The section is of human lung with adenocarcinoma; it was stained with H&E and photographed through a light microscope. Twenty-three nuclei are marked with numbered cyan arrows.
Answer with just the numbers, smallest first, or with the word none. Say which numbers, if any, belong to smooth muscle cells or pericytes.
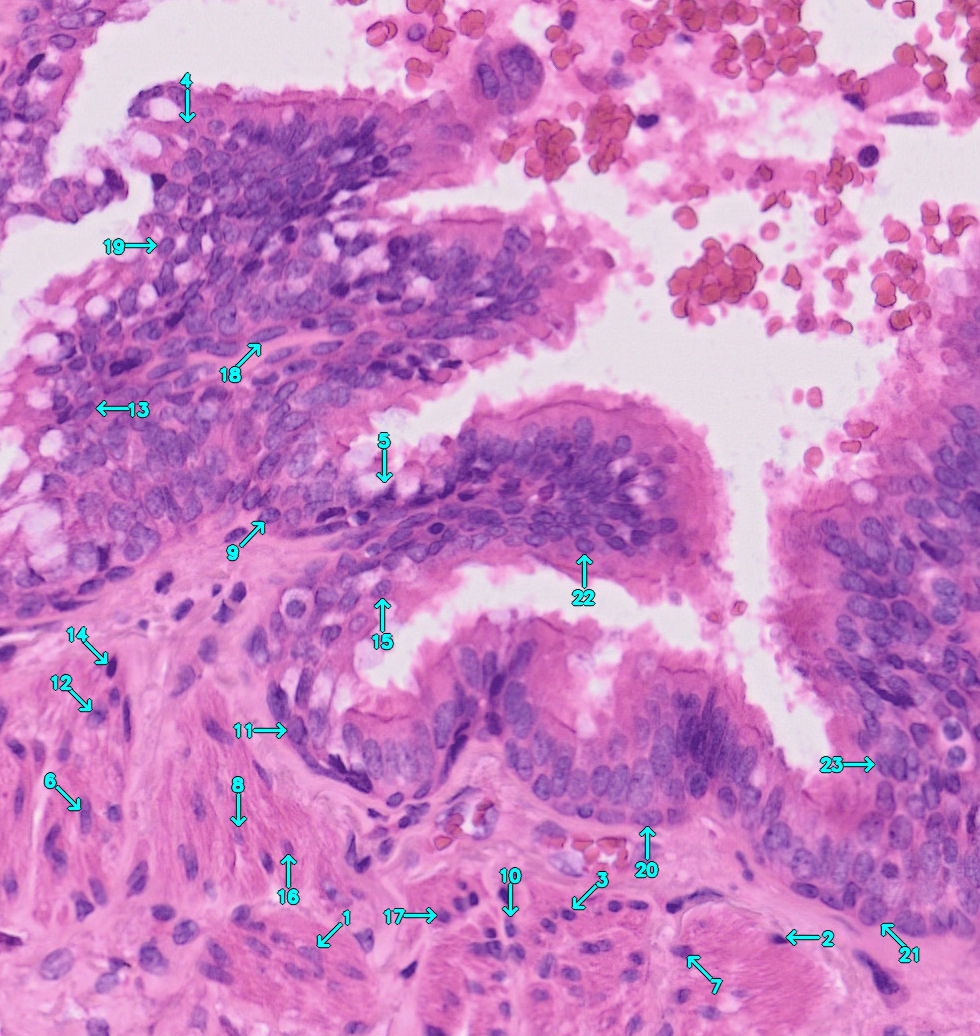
1, 2, 3, 6, 7, 8, 10, 12, 14, 16, 17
